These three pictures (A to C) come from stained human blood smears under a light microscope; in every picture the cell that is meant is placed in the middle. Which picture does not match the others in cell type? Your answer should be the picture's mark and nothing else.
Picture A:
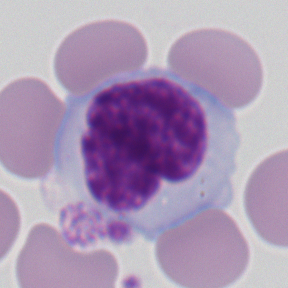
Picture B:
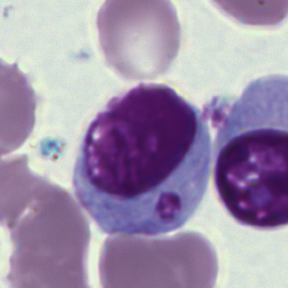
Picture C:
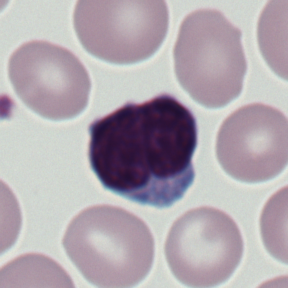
B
